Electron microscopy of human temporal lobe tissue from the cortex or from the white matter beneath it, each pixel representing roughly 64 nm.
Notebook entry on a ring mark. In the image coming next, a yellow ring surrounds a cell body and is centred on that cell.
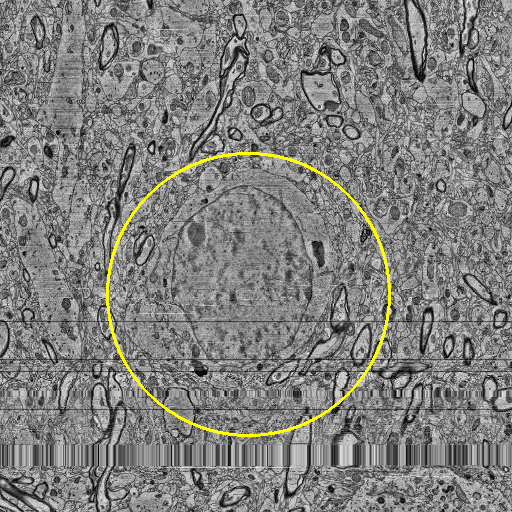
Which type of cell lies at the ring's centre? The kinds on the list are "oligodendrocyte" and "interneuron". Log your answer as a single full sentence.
Centred in the yellow ring is an interneuron, the cell recorded for this image.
